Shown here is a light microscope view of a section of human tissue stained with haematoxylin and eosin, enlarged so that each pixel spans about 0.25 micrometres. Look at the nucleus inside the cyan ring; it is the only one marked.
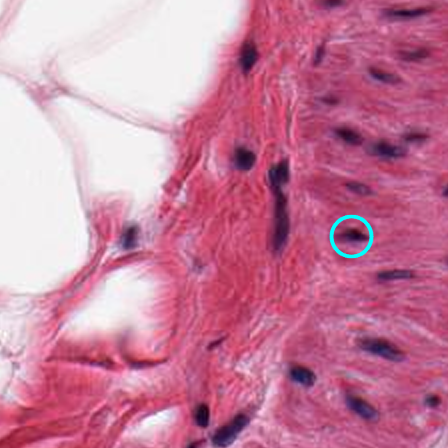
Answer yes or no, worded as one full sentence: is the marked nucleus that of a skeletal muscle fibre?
No, in the field shown, the nucleus that is marked is not from a skeletal muscle fibre.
